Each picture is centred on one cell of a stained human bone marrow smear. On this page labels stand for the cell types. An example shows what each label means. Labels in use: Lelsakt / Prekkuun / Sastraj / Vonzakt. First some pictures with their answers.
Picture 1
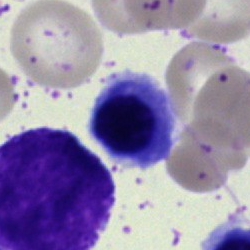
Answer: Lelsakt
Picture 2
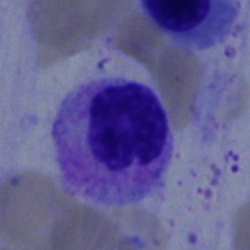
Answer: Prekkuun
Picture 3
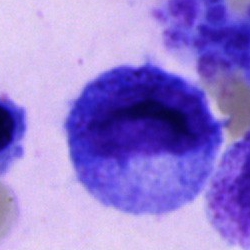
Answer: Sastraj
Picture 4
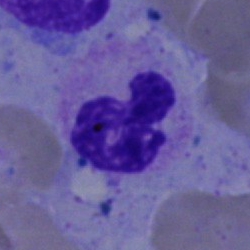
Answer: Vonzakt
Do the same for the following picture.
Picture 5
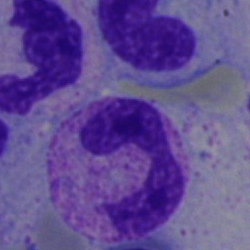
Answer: Vonzakt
